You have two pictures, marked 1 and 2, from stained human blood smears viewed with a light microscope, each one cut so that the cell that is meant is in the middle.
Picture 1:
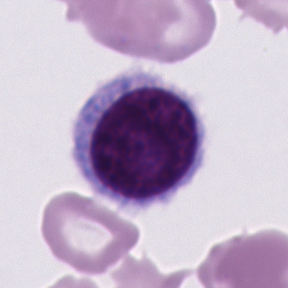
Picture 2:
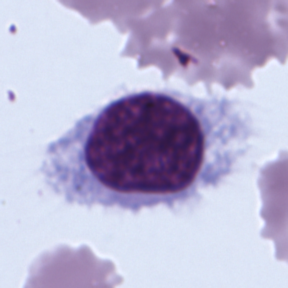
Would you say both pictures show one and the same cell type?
yes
